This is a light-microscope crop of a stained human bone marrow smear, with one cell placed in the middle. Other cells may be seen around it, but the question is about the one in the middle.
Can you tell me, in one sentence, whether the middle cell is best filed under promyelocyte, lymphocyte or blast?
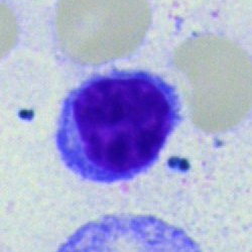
In the centre of this crop there is a lymphocyte.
